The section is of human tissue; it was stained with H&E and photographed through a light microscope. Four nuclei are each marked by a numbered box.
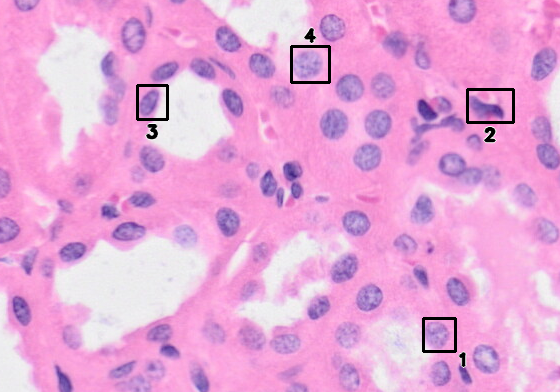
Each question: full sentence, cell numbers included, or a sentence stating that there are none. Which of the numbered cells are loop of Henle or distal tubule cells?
The cells bearing the numbers 1, 3 and 4 are loop of Henle or distal tubule cells.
